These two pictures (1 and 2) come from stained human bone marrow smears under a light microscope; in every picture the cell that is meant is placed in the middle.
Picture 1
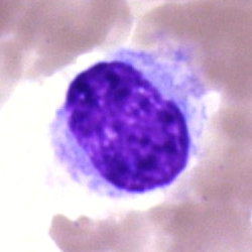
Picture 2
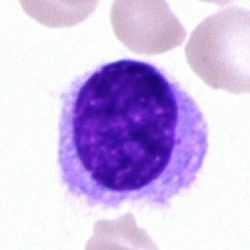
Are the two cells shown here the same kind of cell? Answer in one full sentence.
Yes; the cells in both pictures are hairy cells.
